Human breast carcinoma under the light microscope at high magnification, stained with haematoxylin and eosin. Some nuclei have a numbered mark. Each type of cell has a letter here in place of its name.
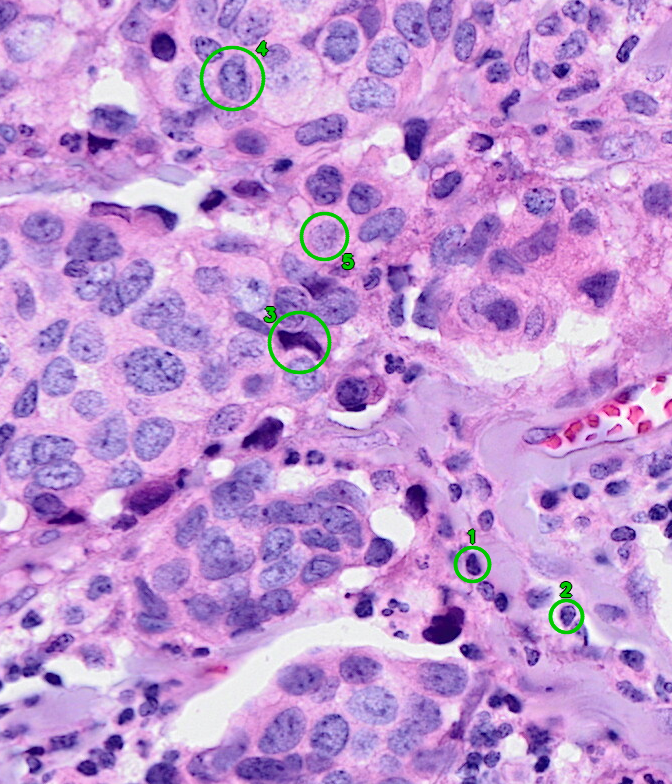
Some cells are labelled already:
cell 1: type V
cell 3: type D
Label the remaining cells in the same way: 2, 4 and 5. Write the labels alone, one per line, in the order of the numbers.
type V
type D
type D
